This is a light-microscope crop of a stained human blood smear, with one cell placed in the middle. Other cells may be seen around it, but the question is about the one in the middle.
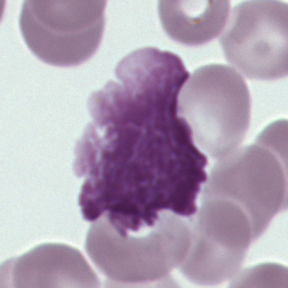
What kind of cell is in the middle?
smudge cell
